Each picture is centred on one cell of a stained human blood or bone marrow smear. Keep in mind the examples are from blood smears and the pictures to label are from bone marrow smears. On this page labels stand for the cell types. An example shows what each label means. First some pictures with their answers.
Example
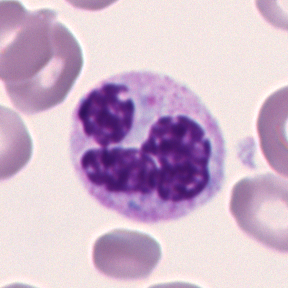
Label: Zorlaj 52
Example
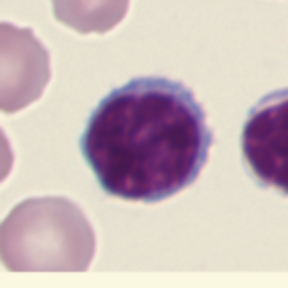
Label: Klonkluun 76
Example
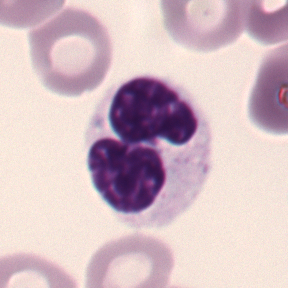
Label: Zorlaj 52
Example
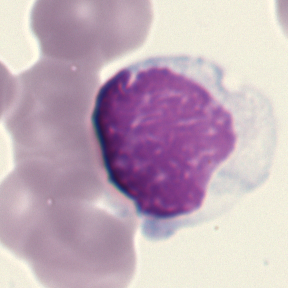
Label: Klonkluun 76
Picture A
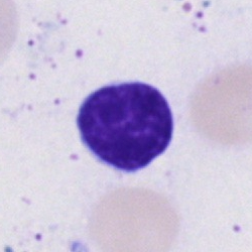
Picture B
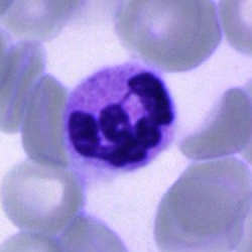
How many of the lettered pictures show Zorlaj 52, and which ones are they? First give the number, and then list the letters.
1: B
